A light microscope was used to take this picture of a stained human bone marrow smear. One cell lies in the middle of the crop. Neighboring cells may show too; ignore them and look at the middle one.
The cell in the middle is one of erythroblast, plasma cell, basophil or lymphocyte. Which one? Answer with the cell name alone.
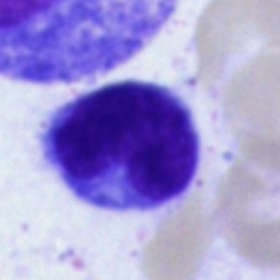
lymphocyte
